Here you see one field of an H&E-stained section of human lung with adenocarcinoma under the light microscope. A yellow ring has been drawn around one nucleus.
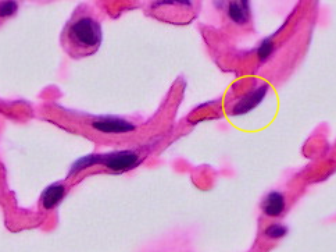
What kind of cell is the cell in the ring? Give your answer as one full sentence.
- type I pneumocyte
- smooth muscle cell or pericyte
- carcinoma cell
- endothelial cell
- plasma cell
The cell in the ring is a type I pneumocyte.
